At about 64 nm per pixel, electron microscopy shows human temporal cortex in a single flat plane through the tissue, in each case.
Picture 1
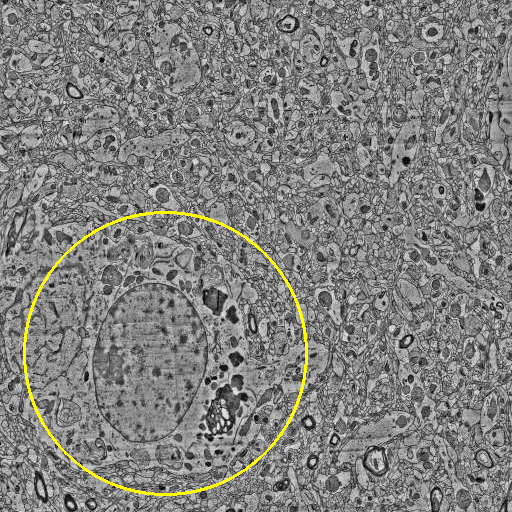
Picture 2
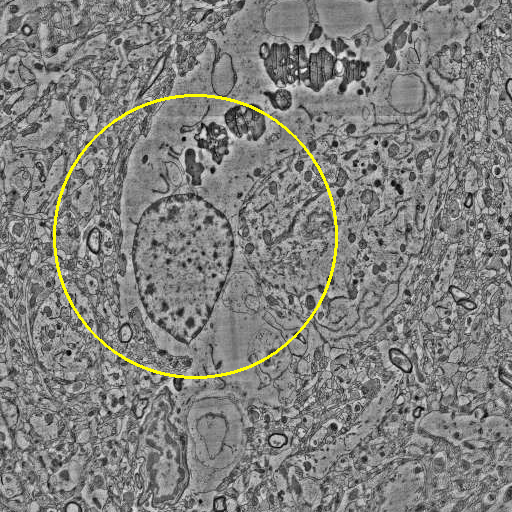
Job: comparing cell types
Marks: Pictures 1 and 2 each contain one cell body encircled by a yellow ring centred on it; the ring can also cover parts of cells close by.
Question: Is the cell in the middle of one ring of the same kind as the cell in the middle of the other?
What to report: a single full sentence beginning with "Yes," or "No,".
Yes, the cell at the ring centre in Picture 1 and its partner in Picture 2 are of one kind.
